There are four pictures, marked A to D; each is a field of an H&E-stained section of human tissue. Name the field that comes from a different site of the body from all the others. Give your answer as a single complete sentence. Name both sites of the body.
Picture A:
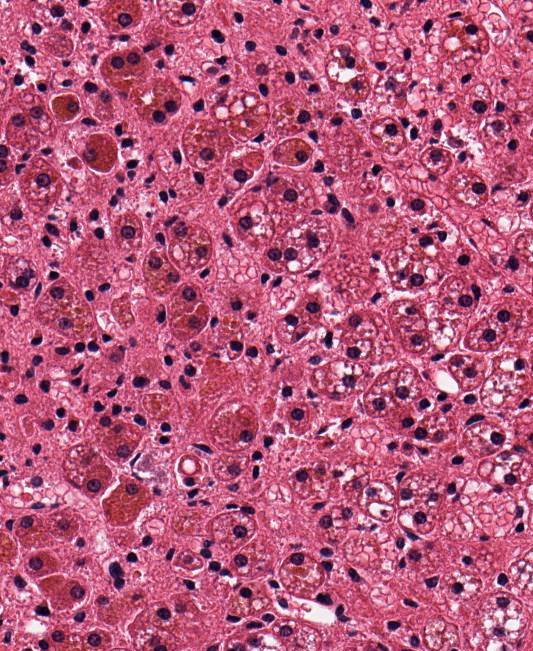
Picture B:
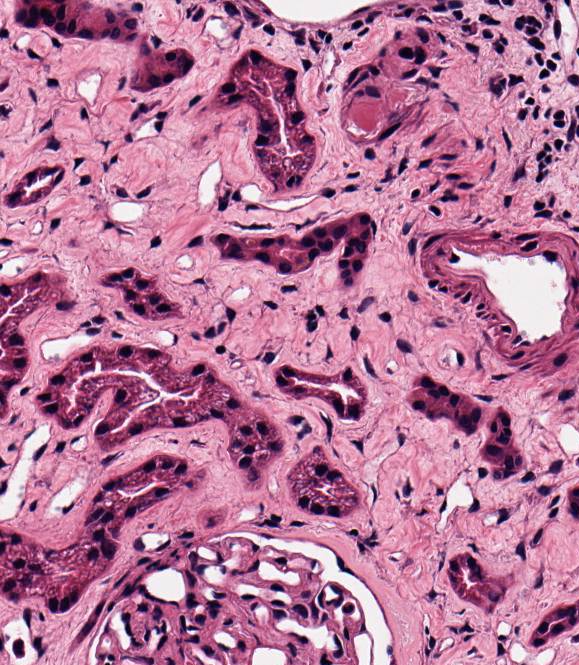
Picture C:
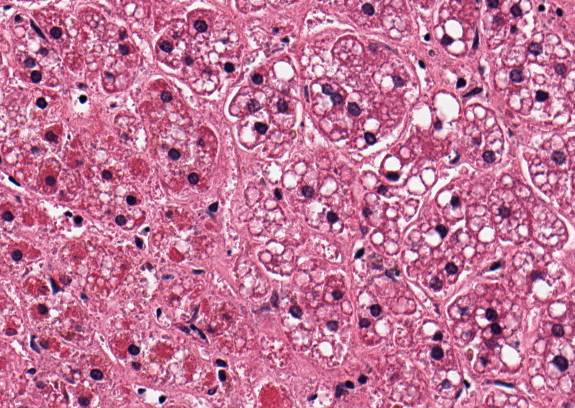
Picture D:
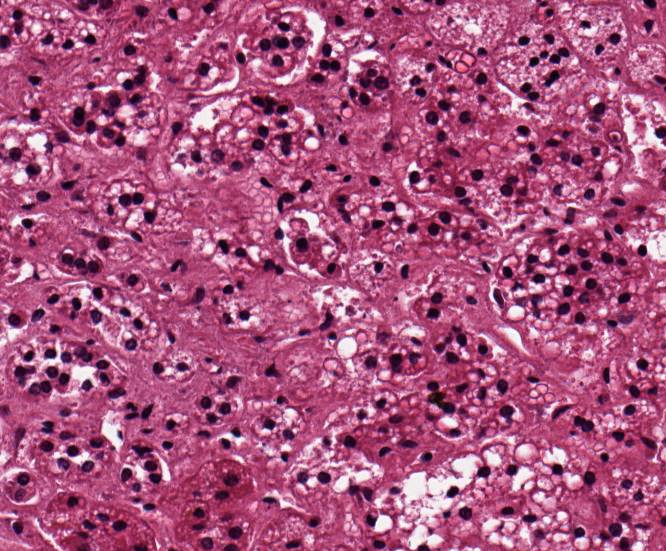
All pictures except B come from the adrenal gland; picture B comes from the renal cortex.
